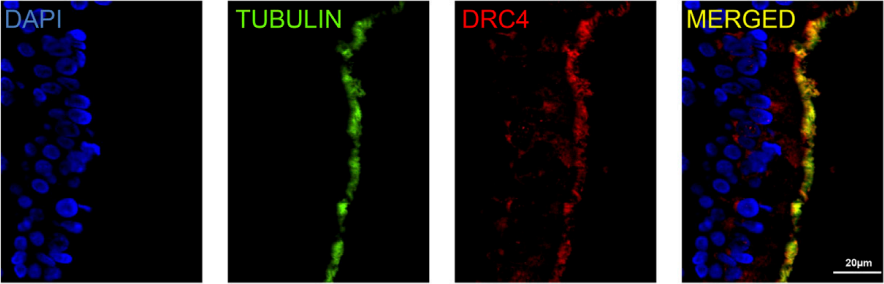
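A section of ciliated epithelium seen in four matching fields. Numerous oval blue nuclei are packed in several tiers, forming a tall epithelial layer. Along its free surface runs a continuous, slightly ragged green band marking the cilia, lying beyond the nuclei on the apical side. The third field shows red staining concentrated in the same surface band, with fainter red dots in the cell bodies below. In the overlay the surface band appears yellow where green and red coincide, sitting as a fringe over the blue nuclei of the underlying cells.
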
